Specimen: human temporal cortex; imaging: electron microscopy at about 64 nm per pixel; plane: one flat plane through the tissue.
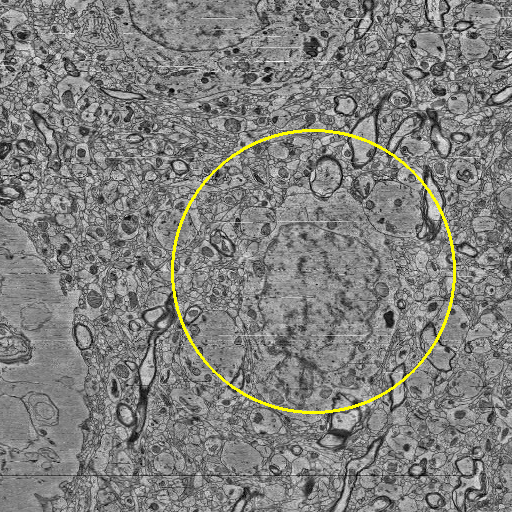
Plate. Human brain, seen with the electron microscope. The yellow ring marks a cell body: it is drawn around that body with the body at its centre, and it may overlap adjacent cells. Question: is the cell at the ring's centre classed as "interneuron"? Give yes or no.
yes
